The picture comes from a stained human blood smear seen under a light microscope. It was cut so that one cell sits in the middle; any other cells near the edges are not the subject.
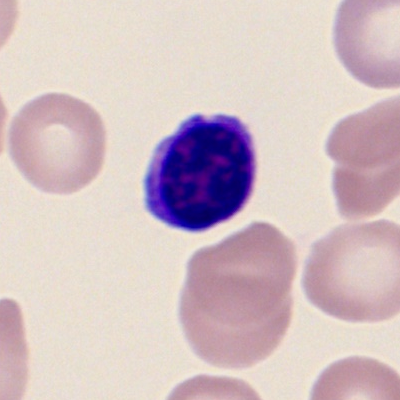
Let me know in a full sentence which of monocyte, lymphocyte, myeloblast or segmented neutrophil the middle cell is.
In the center of this field lies a lymphocyte.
